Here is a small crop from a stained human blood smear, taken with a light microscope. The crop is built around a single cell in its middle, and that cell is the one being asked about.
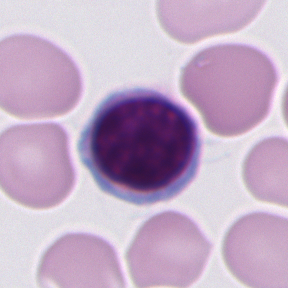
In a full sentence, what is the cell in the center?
The cell marked by its central position in the crop is a lymphocyte.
